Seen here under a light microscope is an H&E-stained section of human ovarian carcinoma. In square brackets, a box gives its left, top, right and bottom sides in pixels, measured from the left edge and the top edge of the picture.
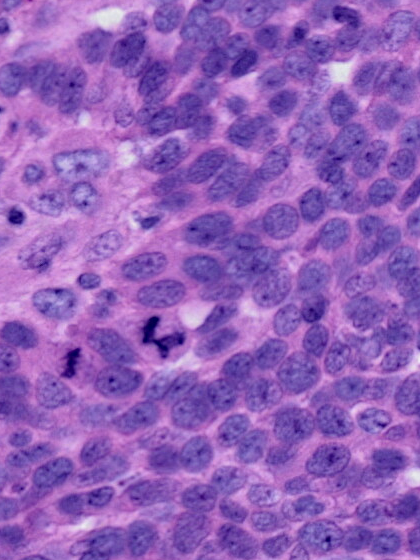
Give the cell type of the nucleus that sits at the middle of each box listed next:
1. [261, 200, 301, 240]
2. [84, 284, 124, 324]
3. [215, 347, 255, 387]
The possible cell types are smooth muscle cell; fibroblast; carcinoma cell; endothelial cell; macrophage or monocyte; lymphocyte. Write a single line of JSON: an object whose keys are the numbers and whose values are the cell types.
{"1": "carcinoma cell", "2": "macrophage or monocyte", "3": "carcinoma cell"}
